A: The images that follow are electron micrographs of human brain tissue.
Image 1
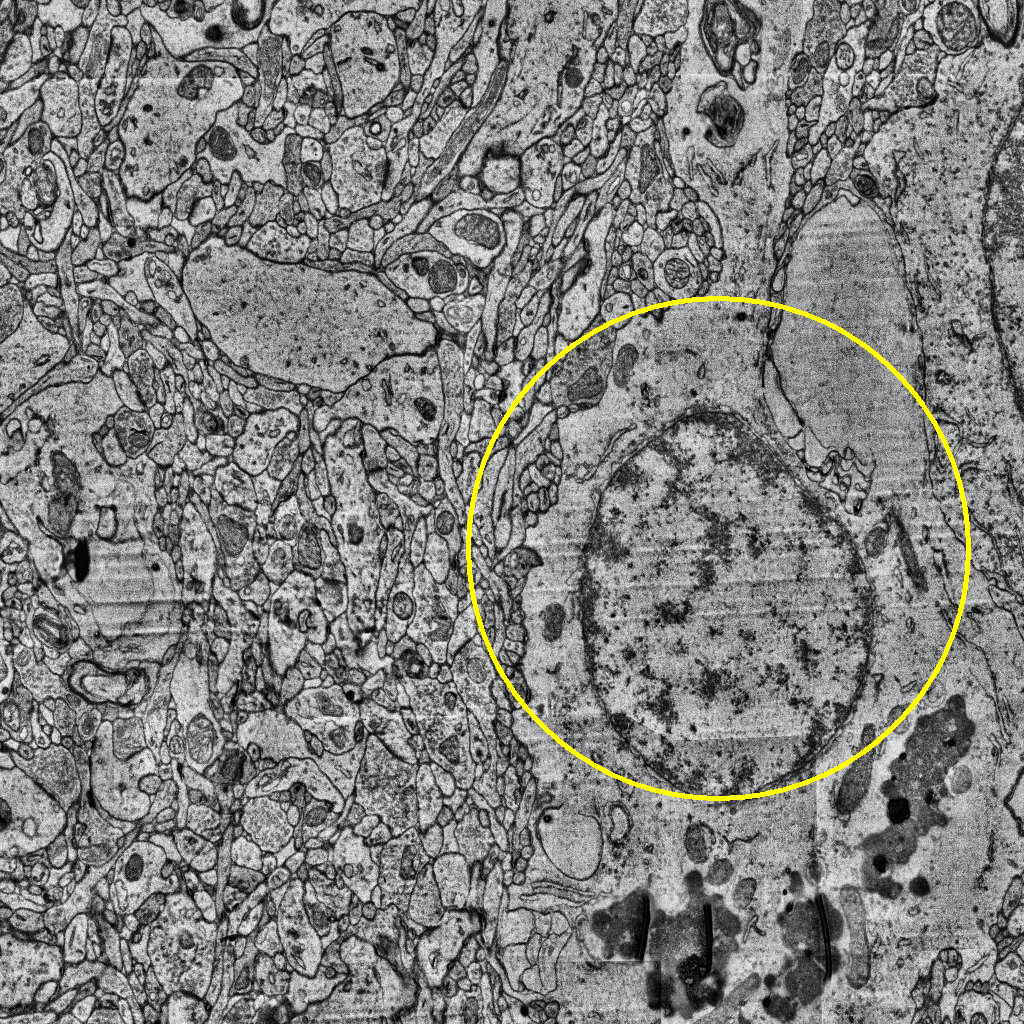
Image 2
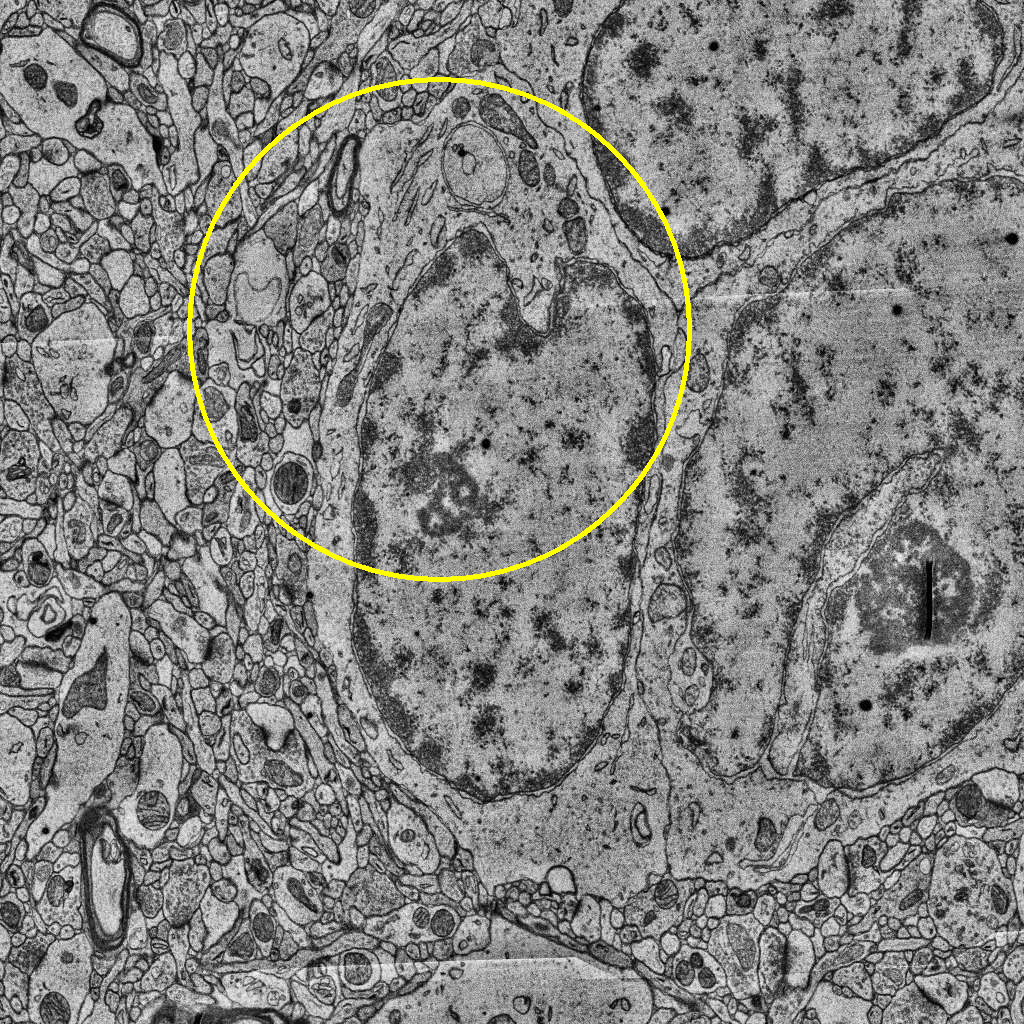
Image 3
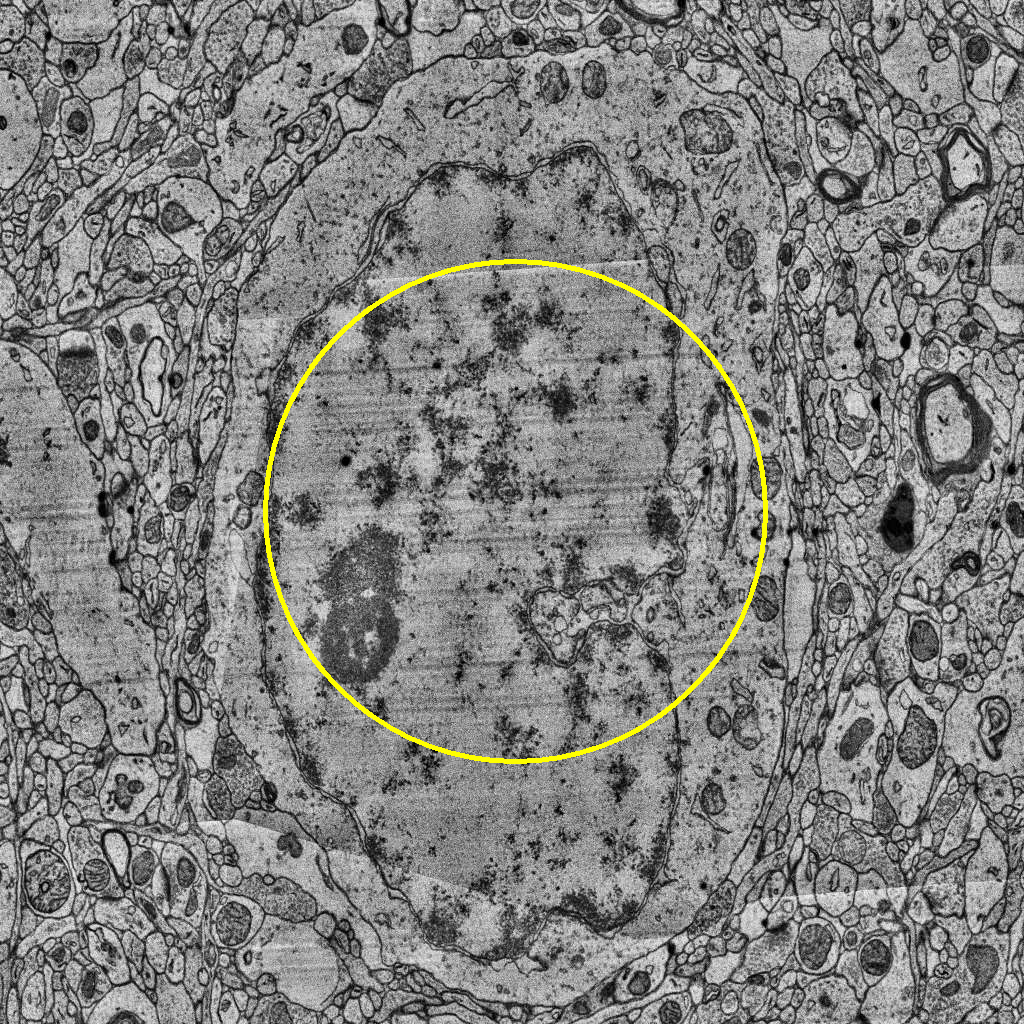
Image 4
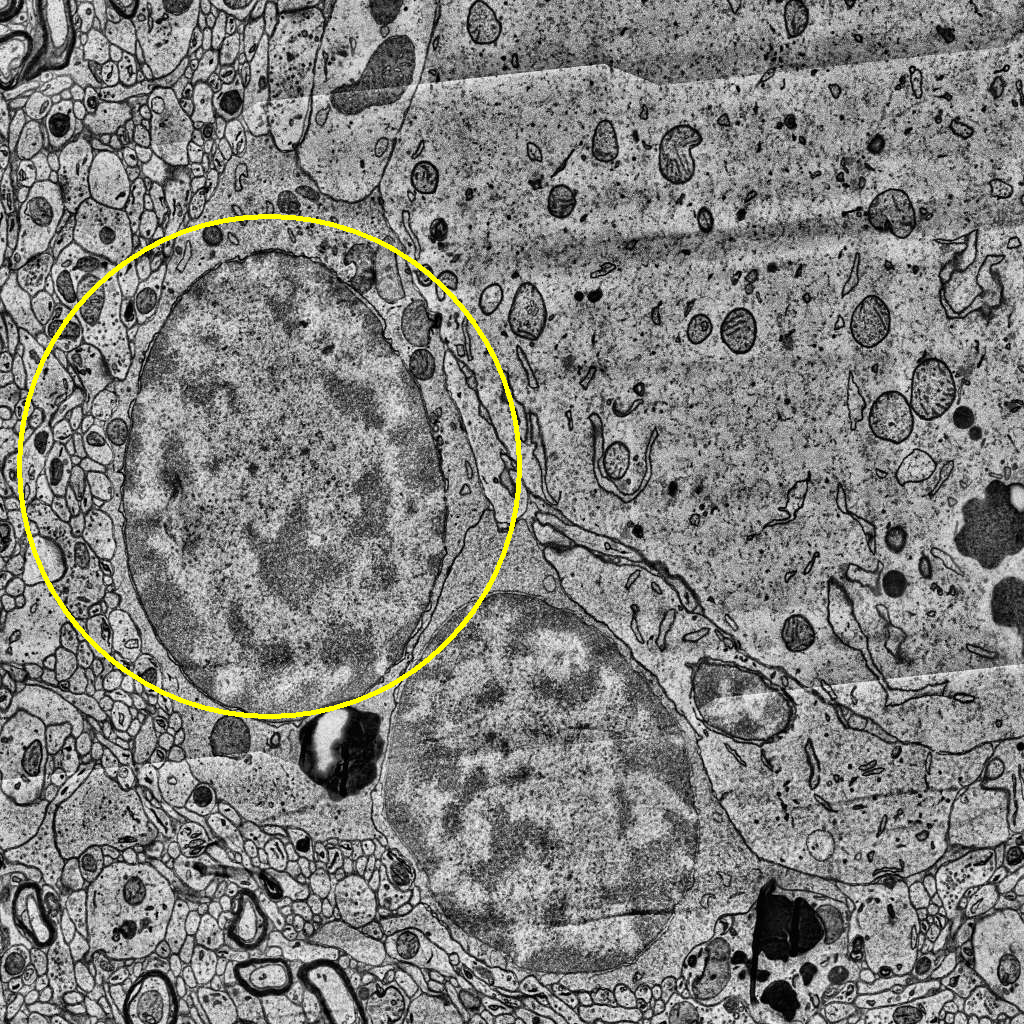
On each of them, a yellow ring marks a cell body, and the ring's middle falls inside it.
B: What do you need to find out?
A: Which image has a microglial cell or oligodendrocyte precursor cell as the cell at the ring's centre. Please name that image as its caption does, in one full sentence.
Image 2 is the one whose ring has its centre inside the sought cell.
